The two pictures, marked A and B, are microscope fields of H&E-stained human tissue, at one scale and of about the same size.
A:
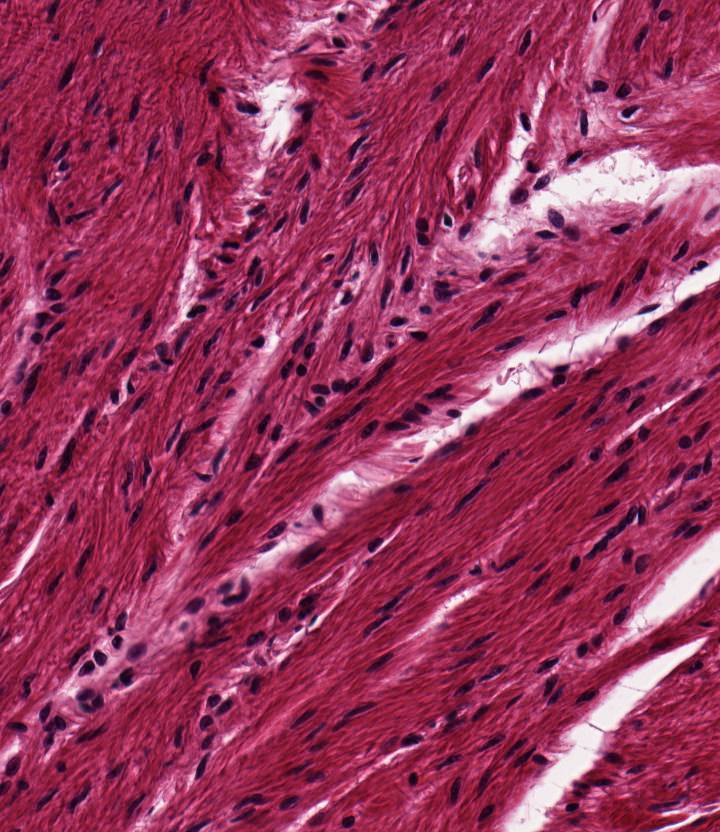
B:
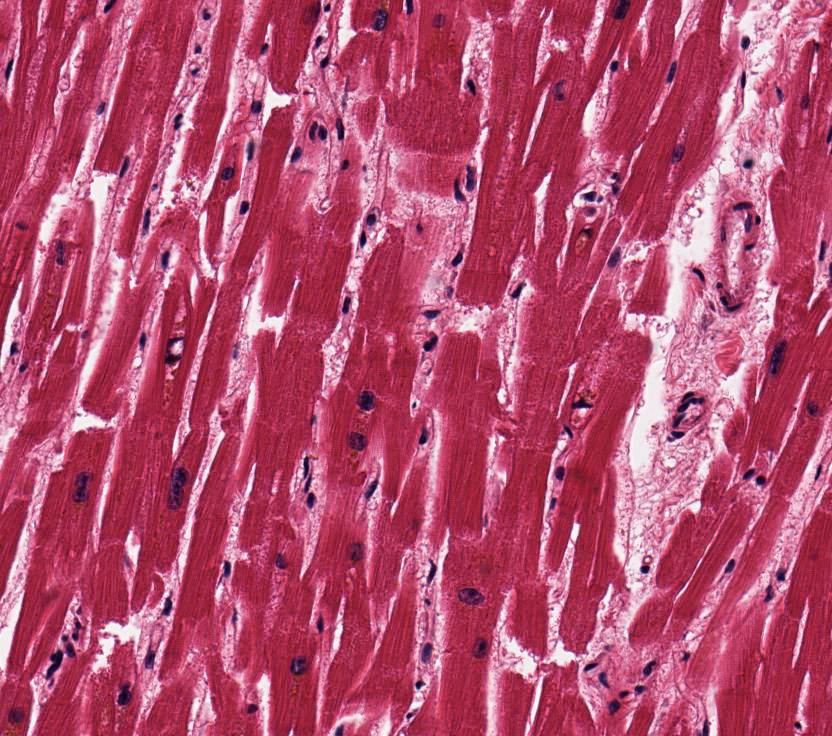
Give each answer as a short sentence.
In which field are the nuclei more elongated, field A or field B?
The nuclei are more elongated in field A.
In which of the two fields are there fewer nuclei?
There are fewer nuclei in field B.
